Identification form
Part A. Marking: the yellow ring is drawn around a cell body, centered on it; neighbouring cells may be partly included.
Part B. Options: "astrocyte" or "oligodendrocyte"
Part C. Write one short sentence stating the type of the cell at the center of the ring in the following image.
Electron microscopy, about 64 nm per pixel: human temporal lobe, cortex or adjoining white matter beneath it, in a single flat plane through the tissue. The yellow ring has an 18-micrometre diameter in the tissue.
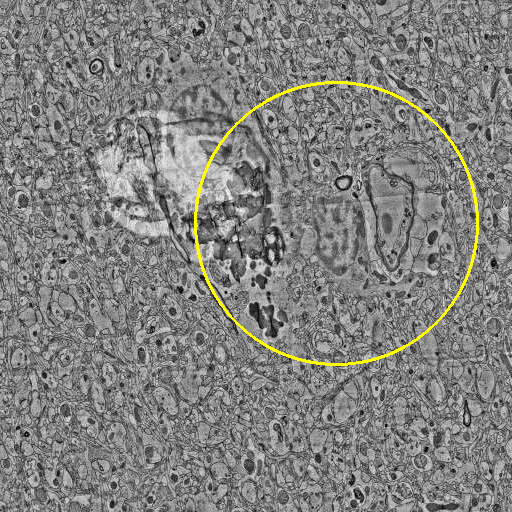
The center of the ring holds an oligodendrocyte.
